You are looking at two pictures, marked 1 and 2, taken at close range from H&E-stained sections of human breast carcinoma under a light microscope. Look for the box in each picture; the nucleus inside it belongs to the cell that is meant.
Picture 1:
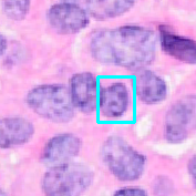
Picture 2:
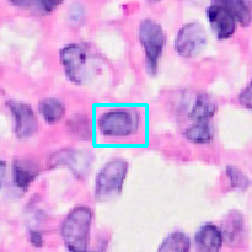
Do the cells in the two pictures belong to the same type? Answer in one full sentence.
Yes, both cells are carcinoma cells.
